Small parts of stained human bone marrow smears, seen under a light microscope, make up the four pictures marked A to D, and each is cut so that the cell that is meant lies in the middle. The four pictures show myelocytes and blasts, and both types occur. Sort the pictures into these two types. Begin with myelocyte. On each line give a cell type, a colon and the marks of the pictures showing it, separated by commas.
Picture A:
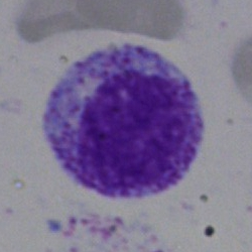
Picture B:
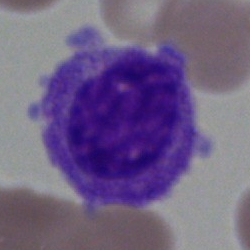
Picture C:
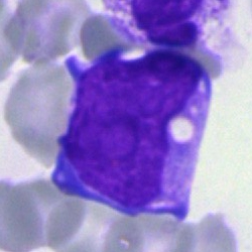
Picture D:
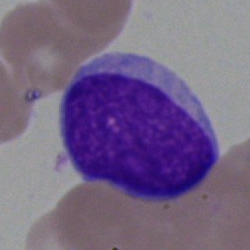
myelocyte: A, B
blast: C, D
